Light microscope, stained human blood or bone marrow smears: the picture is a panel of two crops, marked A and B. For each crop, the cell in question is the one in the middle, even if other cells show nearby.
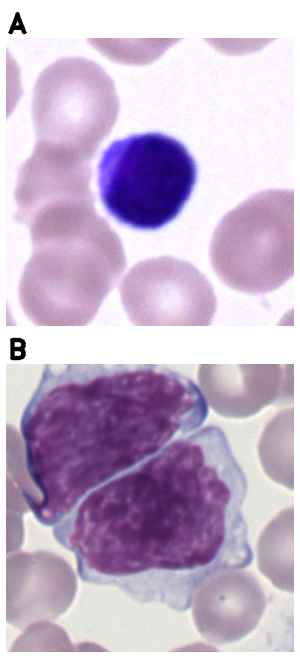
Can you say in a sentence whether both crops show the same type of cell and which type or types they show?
No, a blast is depicted in crop B, whereas a lymphocyte is depicted in crop A.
